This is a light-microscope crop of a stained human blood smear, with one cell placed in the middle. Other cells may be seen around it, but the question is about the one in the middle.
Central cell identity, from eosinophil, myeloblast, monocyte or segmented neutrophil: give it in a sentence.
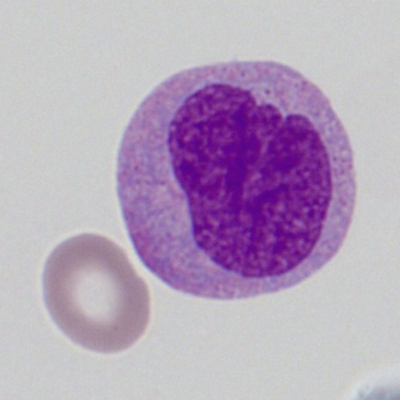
The cell occupying the middle of the crop is a myeloblast.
